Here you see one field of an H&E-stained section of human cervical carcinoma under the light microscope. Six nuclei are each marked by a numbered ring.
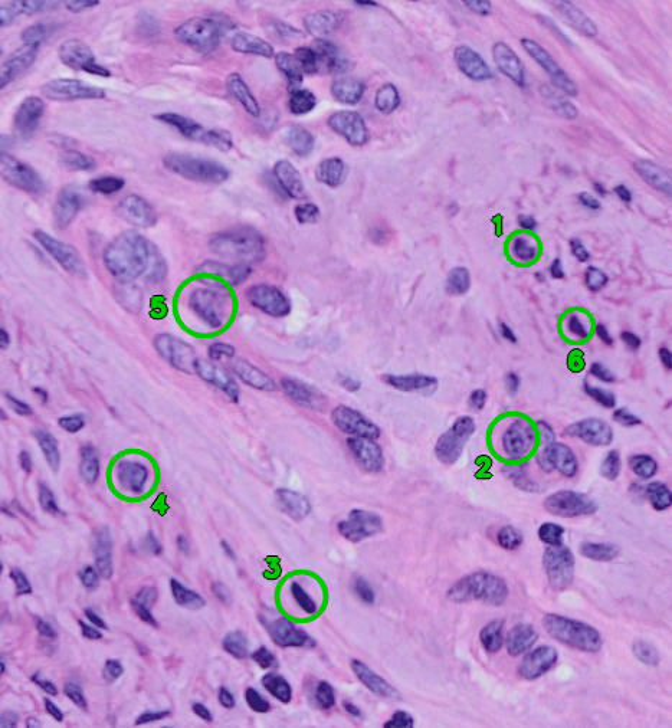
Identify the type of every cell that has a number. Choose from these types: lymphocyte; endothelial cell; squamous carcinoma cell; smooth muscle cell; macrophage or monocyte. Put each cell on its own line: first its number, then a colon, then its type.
1: smooth muscle cell
2: endothelial cell
3: lymphocyte
4: smooth muscle cell
5: endothelial cell
6: smooth muscle cell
